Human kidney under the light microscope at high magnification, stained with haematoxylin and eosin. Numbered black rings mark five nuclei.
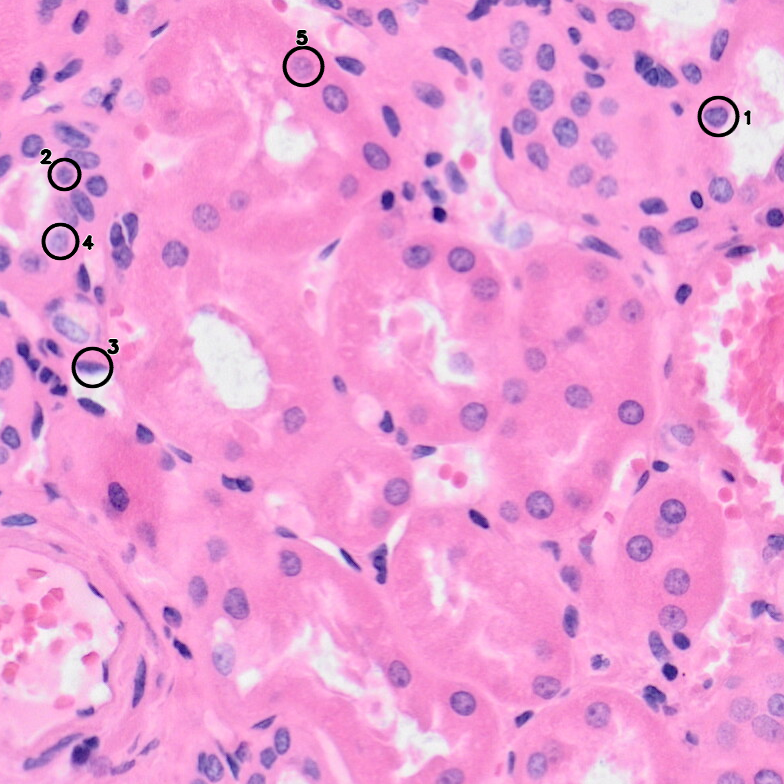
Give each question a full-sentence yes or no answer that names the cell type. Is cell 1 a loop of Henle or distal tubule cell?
Yes, of the numbered cells, number 1 is a loop of Henle or distal tubule cell.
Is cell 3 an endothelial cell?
Yes, exactly, the cell numbered 3 is an endothelial cell.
